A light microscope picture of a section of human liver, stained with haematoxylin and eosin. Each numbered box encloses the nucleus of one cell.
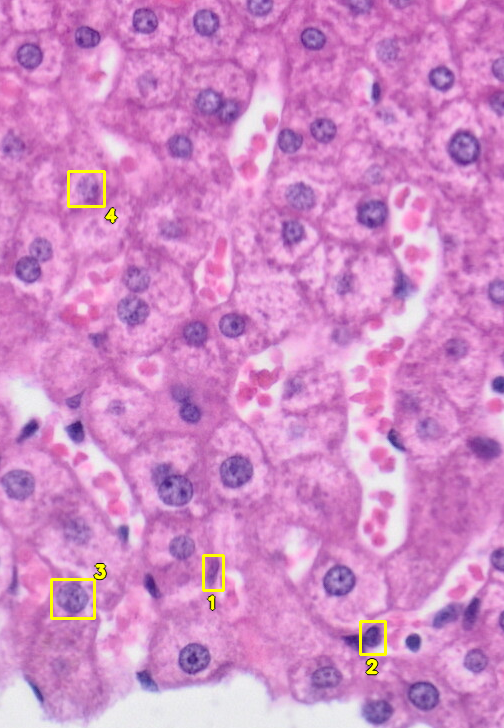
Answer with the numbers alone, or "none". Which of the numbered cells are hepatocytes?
3, 4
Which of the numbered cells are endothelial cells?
1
